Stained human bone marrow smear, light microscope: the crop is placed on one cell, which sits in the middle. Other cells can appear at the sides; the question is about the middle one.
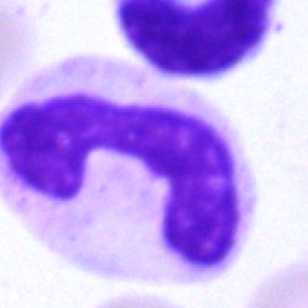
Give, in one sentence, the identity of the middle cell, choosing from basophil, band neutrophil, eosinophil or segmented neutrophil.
Looking at the middle of the crop, the cell there is a band neutrophil.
